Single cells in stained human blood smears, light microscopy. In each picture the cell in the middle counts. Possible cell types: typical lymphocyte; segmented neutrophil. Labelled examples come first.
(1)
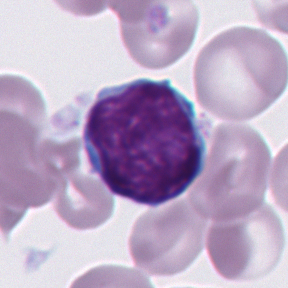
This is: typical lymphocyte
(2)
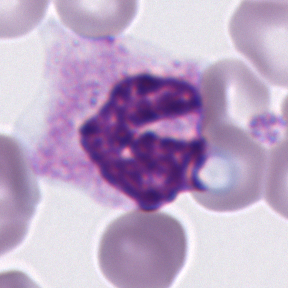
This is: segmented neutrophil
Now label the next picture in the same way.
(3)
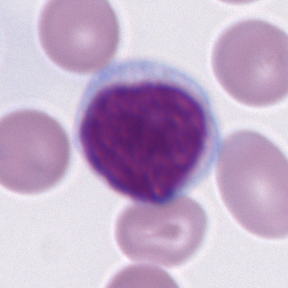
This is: typical lymphocyte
